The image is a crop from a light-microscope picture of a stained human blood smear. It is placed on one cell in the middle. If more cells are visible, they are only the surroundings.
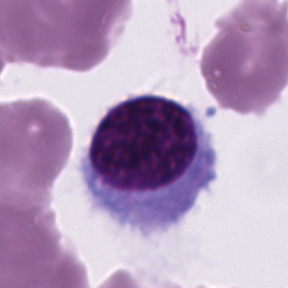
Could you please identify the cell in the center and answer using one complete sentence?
In the crop, the cell of interest at the centre is a hairy cell.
